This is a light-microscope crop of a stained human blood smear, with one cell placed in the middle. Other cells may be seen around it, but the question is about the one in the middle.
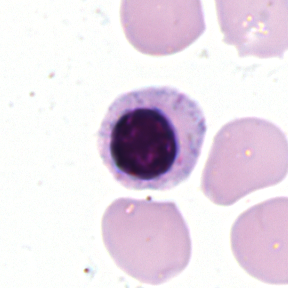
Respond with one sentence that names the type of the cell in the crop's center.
The cell at the heart of this crop is an erythroblast.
